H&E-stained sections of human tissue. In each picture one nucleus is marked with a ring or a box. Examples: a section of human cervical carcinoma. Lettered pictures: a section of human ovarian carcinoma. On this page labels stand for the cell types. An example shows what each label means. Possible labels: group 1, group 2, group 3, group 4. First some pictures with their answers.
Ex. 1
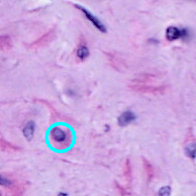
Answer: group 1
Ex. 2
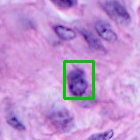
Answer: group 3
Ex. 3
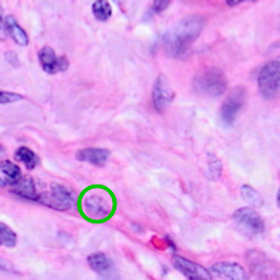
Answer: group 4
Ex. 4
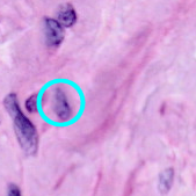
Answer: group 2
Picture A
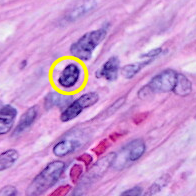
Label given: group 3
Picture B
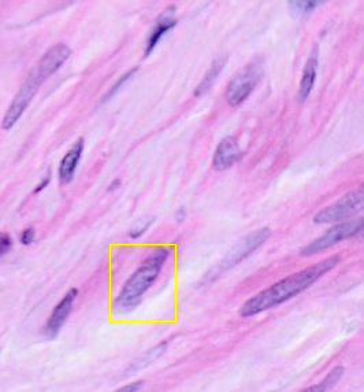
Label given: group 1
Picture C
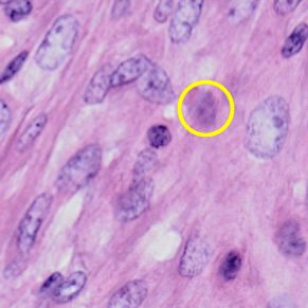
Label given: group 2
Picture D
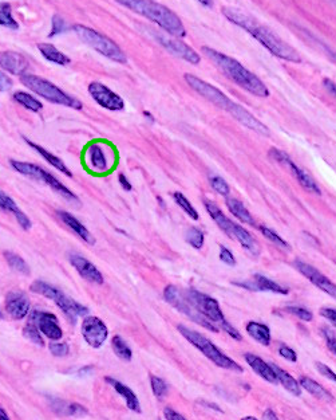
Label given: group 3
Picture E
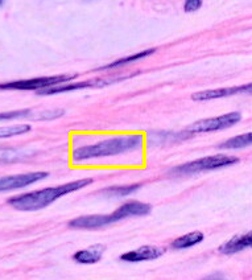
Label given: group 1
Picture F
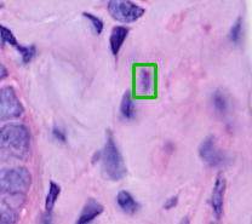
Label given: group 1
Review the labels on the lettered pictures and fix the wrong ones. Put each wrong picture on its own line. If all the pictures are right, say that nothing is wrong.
D: group 1, not group 3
